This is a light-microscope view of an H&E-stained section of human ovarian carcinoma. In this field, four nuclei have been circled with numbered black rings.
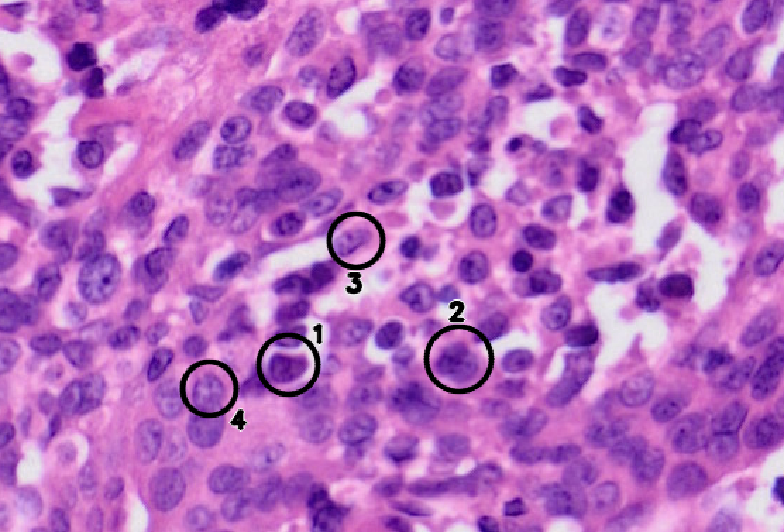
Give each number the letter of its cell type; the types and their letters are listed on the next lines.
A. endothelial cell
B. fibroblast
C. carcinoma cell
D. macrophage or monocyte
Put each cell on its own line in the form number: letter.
1: C
2: C
3: D
4: C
